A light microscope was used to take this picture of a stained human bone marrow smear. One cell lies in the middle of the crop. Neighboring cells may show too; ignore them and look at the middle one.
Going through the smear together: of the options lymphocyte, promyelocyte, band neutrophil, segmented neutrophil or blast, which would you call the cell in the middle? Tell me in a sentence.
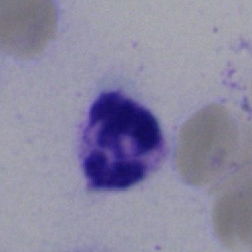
The central element of this crop is a cell, namely a segmented neutrophil.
